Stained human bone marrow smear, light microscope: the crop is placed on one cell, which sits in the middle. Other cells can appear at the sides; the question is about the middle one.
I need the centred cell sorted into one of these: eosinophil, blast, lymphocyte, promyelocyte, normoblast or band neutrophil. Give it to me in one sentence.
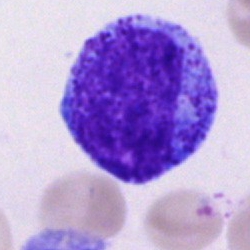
Standing at the centre of this crop is a promyelocyte.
